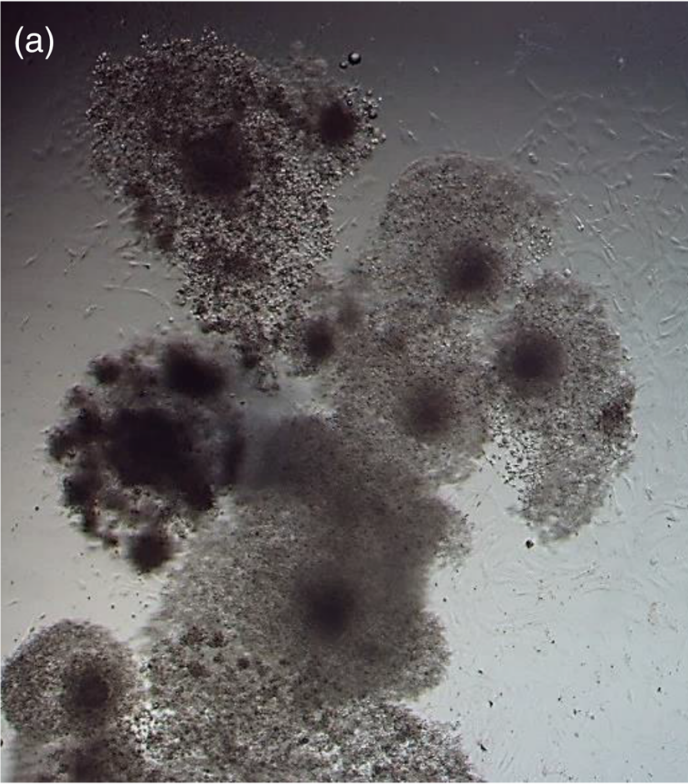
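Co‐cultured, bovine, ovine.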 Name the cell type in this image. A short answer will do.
Oocytes.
